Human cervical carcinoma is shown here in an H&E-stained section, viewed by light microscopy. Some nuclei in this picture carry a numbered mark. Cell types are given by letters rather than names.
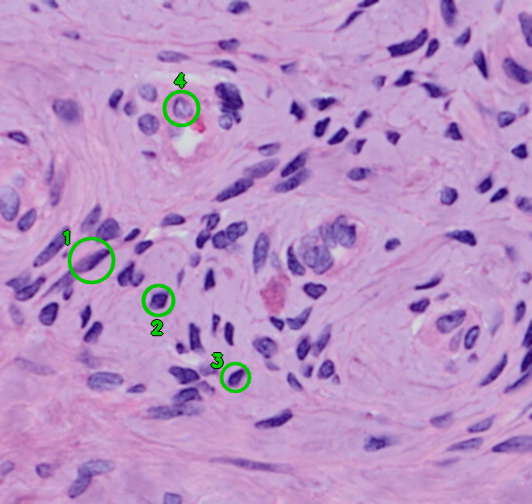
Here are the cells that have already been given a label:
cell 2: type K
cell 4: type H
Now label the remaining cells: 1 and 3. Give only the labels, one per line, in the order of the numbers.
type K
type K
